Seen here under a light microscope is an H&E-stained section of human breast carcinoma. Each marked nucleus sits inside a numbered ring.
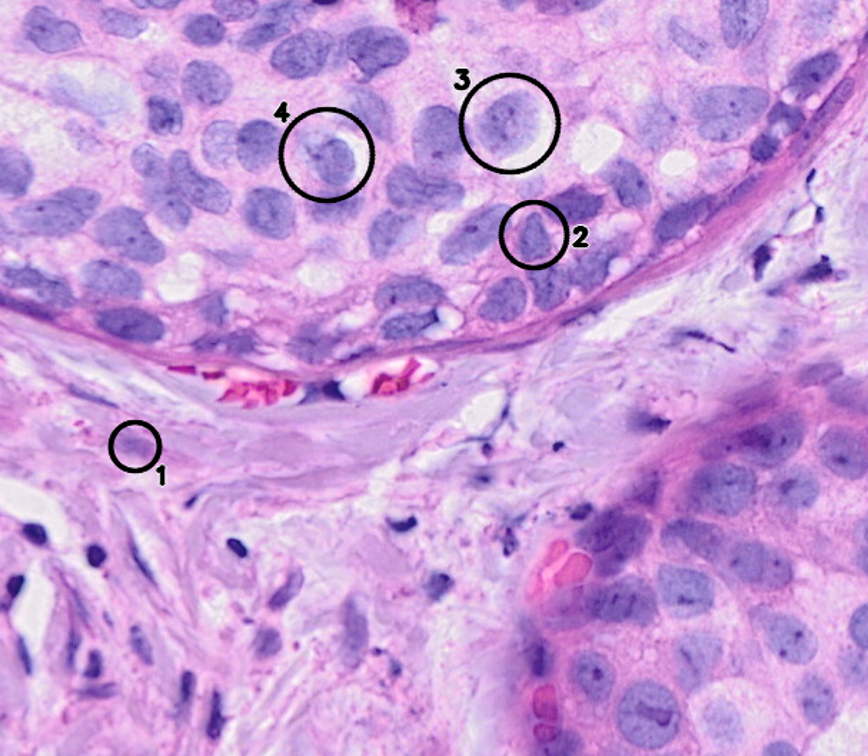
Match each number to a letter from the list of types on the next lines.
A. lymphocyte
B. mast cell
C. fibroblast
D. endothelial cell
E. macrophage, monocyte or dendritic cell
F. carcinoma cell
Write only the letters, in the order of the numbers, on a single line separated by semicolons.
C; F; F; F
